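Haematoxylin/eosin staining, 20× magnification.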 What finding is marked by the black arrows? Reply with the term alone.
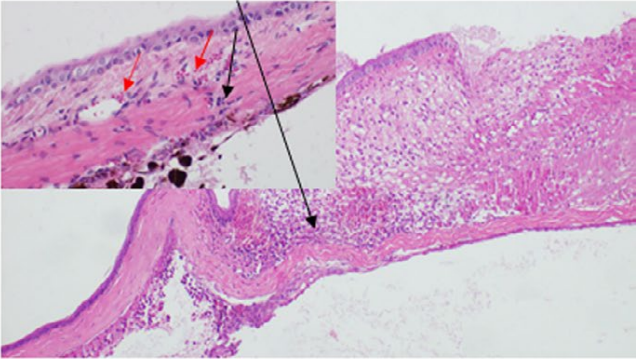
Sub‐epithelial inflammatory infiltrate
